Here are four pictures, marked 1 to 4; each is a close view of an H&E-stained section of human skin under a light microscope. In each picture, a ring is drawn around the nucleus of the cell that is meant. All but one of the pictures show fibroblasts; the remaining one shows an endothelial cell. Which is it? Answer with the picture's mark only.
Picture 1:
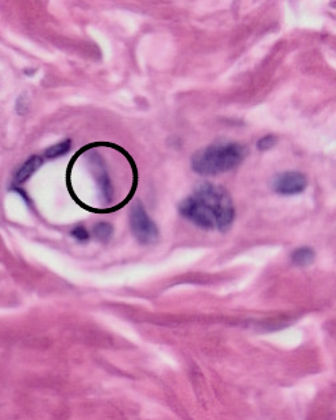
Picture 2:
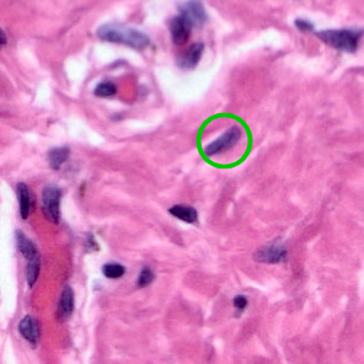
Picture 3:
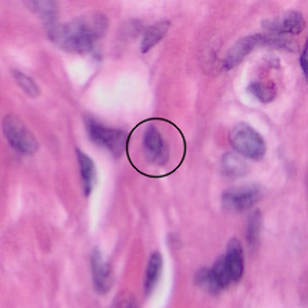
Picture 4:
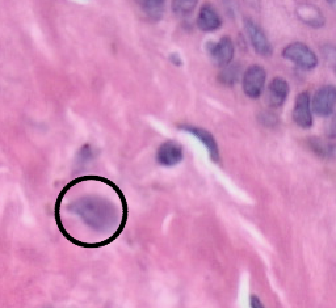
1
